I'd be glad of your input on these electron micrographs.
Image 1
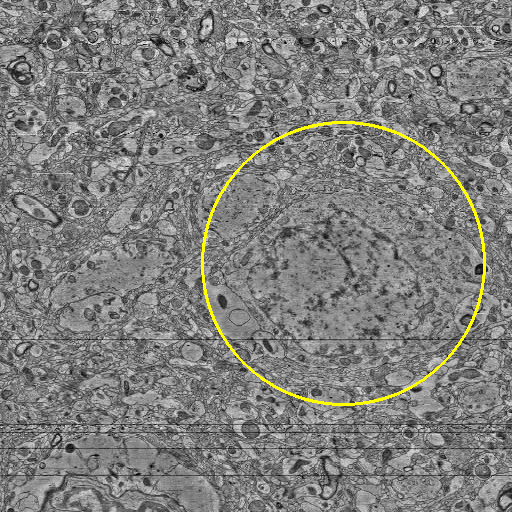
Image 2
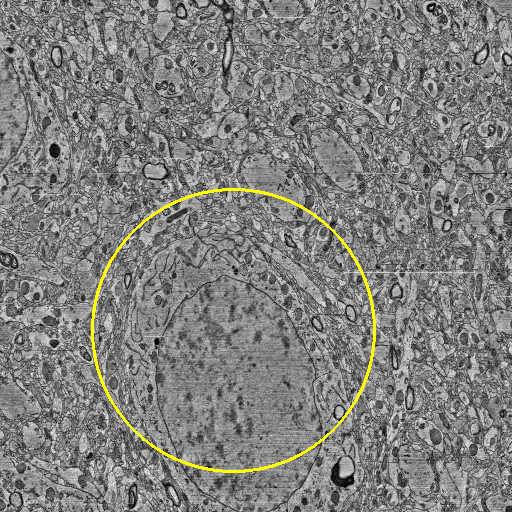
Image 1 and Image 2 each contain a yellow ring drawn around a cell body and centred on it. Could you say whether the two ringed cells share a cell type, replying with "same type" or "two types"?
two types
